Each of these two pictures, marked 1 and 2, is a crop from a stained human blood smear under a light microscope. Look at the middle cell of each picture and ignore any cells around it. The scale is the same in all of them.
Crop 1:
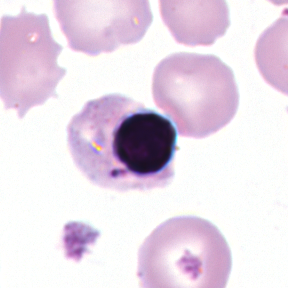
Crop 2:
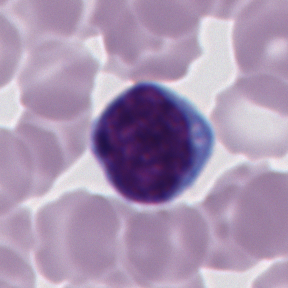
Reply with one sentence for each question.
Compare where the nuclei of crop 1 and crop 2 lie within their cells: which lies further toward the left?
It is the nucleus in crop 2 that lies further toward the left of its cell.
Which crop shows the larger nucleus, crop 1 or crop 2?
It is the nucleus in crop 2, about 3 times as large in area as the one in crop 1.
